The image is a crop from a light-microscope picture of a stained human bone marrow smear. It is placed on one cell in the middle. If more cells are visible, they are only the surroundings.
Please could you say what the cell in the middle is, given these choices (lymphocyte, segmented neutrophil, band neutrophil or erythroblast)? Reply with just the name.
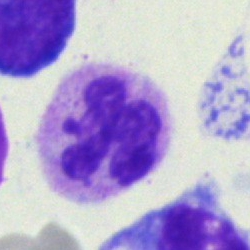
segmented neutrophil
